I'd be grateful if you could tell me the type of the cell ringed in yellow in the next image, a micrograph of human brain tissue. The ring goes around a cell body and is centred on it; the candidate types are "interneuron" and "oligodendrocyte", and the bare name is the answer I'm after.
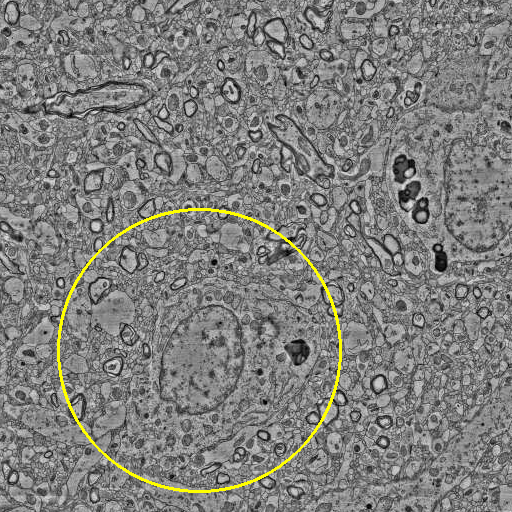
interneuron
